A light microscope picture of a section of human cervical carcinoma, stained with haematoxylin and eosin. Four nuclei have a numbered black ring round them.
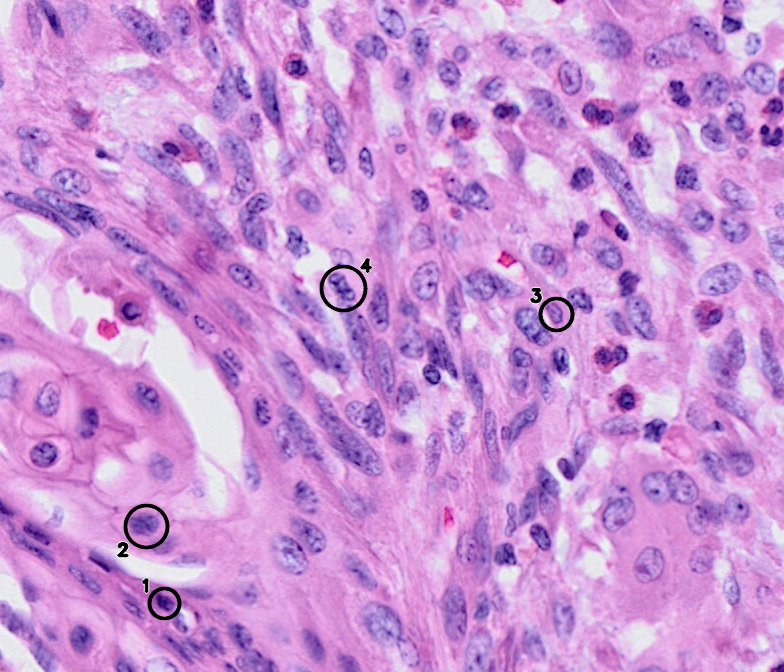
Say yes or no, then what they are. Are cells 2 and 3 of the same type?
No, cell 2 is typed as a squamous carcinoma cell, and cell 3 is typed as an endothelial cell.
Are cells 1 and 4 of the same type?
No, cell 1 is a squamous carcinoma cell, and as for cell 4, it is a lymphocyte.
